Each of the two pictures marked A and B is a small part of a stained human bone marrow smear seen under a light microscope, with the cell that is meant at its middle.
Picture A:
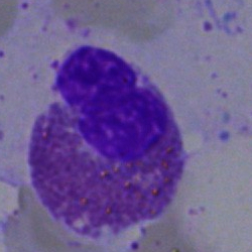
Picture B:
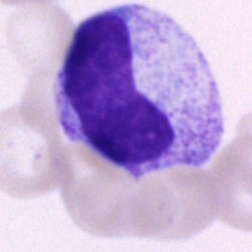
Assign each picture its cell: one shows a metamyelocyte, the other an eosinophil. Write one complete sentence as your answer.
Picture A is of an eosinophil, and picture B is of a metamyelocyte.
